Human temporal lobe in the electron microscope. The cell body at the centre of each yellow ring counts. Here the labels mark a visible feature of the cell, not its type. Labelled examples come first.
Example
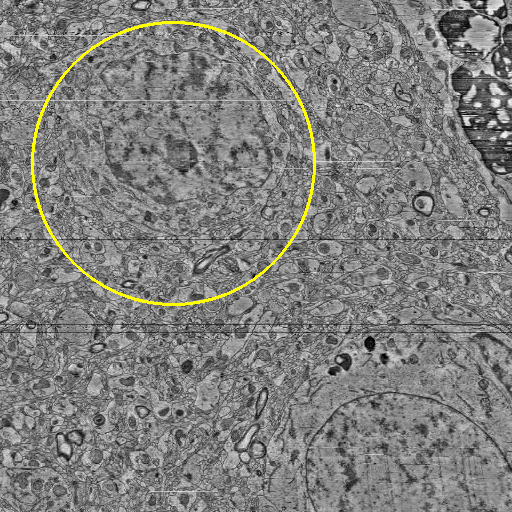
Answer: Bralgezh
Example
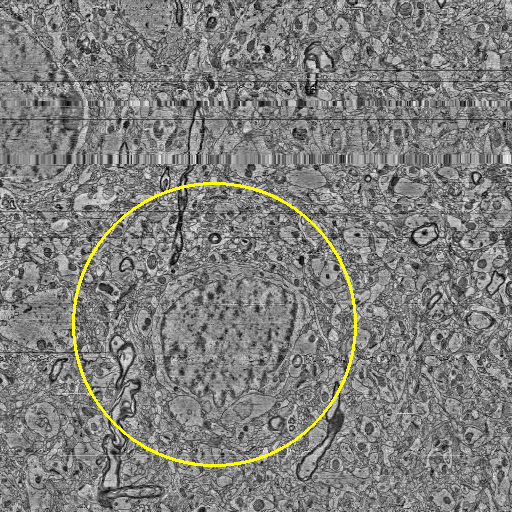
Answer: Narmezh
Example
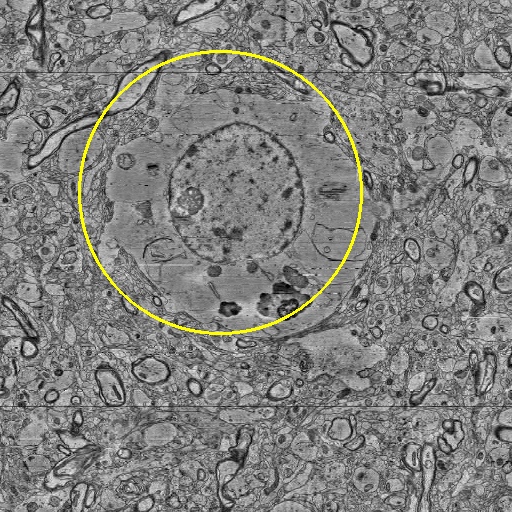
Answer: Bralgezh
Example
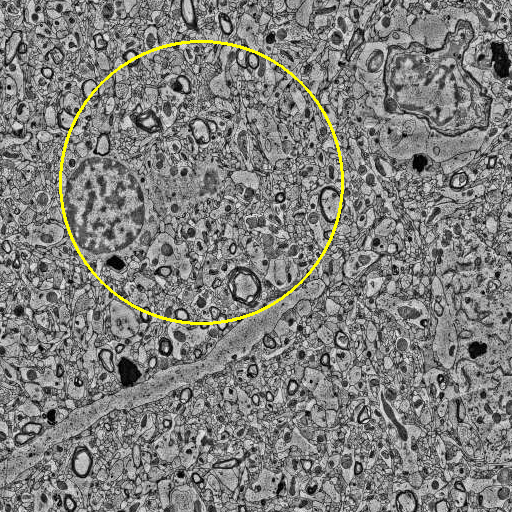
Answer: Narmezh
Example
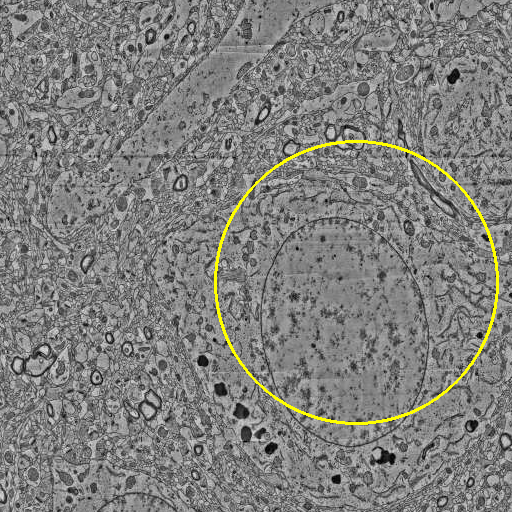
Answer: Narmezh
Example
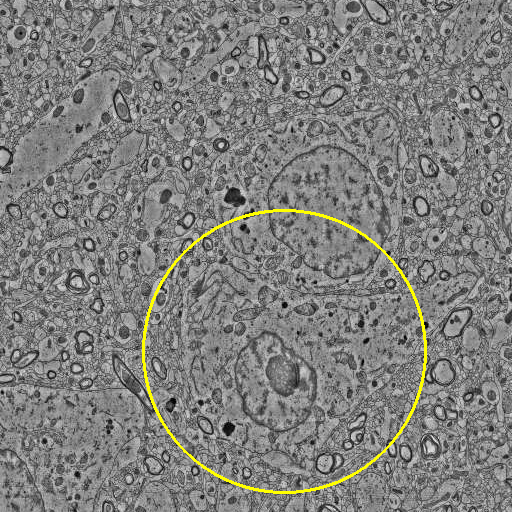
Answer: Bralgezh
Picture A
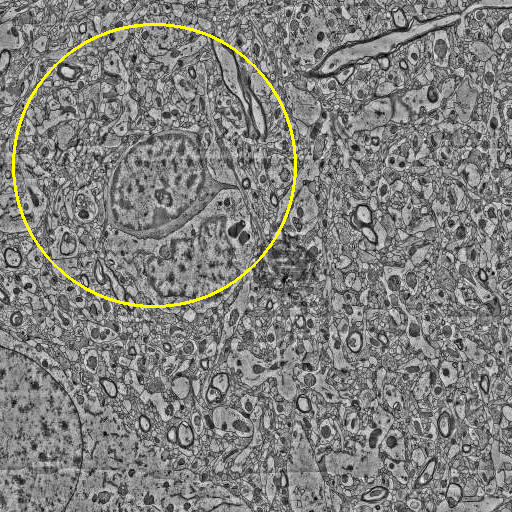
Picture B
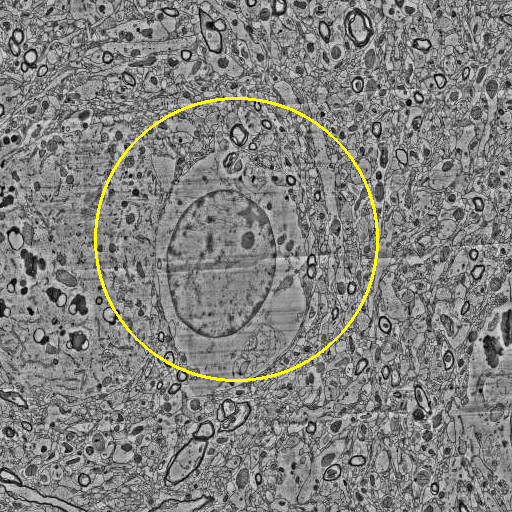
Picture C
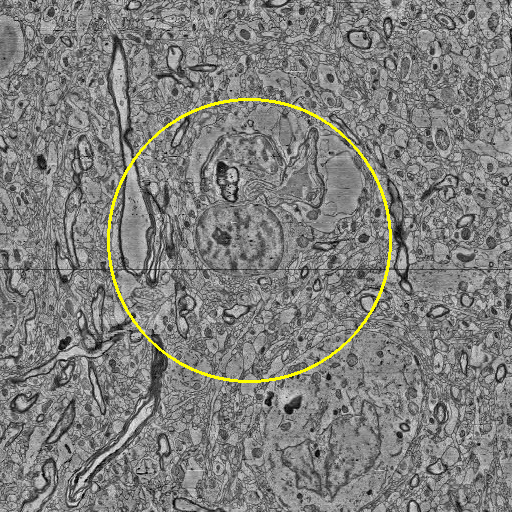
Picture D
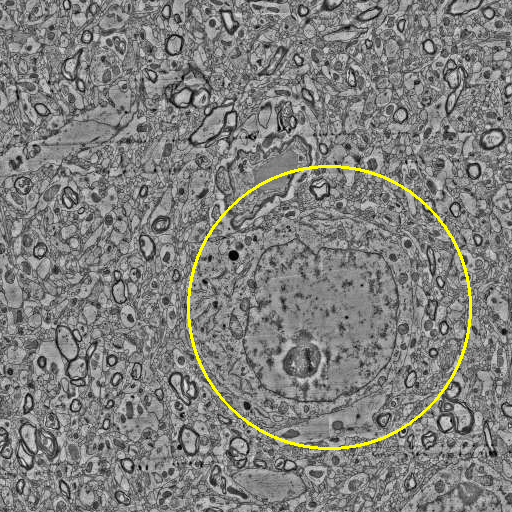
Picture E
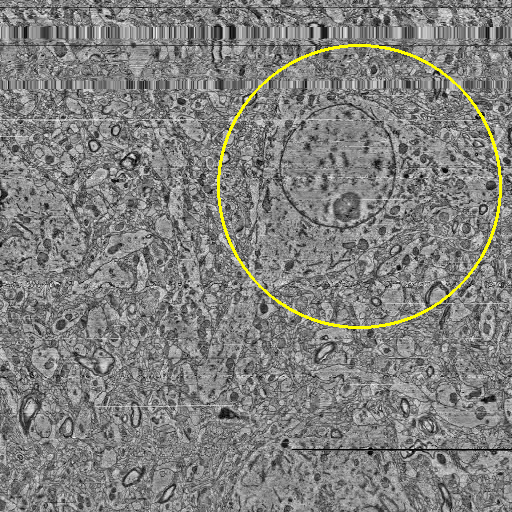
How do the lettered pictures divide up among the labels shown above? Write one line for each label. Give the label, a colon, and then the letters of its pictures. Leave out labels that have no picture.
Bralgezh: A, B, C, D, E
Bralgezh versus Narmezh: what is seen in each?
Seen in Bralgezh: nucleolus seen; seen in Narmezh: no nucleolus seen.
